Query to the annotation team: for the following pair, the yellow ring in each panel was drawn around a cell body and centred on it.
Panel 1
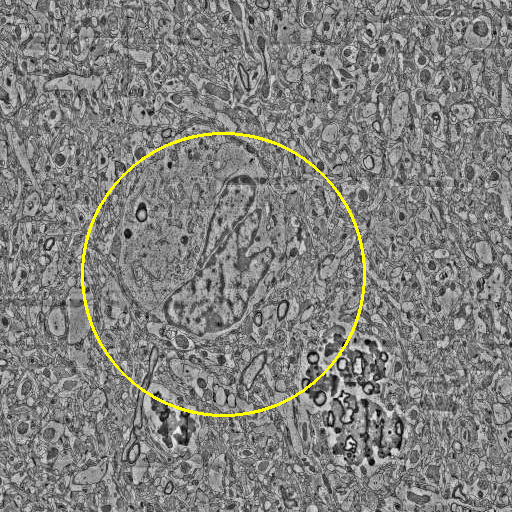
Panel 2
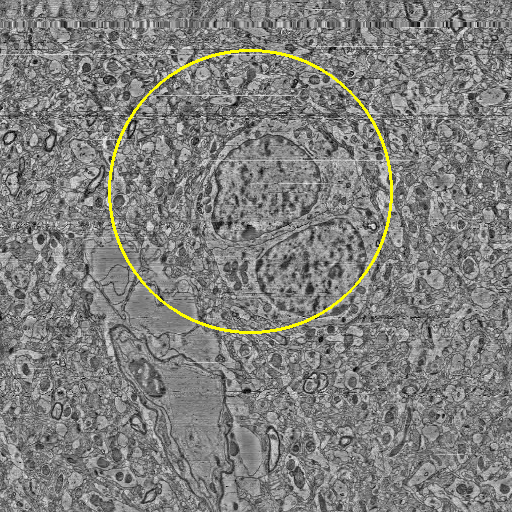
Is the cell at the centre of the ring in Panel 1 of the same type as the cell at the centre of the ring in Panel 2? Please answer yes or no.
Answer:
yes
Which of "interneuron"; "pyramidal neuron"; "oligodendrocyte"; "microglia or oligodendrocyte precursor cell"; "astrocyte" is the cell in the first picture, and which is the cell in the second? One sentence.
Each of the two rings surrounds a microglial cell or oligodendrocyte precursor cell.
